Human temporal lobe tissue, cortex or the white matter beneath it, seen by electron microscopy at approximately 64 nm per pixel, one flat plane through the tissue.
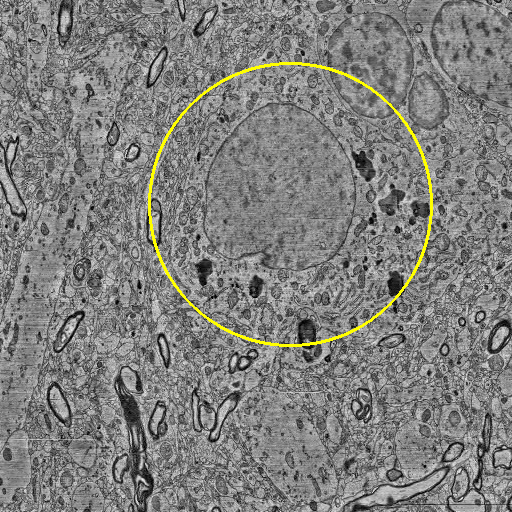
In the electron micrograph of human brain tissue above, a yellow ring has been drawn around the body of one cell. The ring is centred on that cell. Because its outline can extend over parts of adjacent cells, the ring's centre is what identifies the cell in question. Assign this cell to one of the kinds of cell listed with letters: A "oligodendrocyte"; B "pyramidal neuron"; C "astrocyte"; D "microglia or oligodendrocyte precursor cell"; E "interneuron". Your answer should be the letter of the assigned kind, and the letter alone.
E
